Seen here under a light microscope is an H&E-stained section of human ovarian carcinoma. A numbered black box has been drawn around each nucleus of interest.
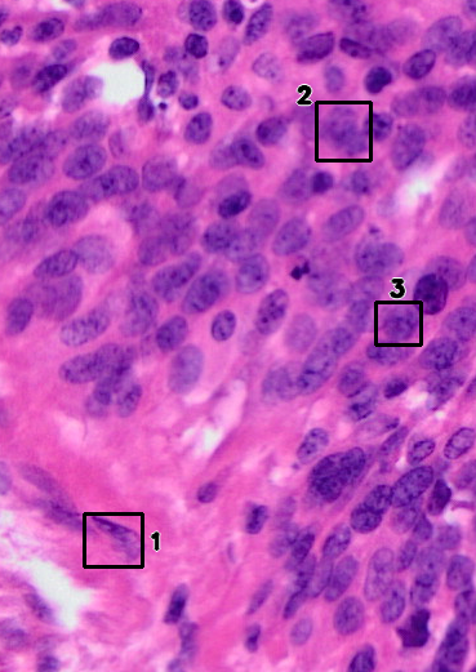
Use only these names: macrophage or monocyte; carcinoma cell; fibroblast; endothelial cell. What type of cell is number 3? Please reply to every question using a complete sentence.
The nucleus with number 3 is that of a carcinoma cell.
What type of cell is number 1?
The marked nucleus 1 is that of a fibroblast.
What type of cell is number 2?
In the tissue shown, cell 2 is a carcinoma cell.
